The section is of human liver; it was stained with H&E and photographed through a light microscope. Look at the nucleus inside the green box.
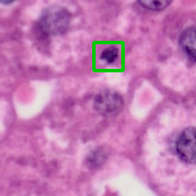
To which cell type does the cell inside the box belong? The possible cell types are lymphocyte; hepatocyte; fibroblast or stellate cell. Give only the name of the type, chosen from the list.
fibroblast or stellate cell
